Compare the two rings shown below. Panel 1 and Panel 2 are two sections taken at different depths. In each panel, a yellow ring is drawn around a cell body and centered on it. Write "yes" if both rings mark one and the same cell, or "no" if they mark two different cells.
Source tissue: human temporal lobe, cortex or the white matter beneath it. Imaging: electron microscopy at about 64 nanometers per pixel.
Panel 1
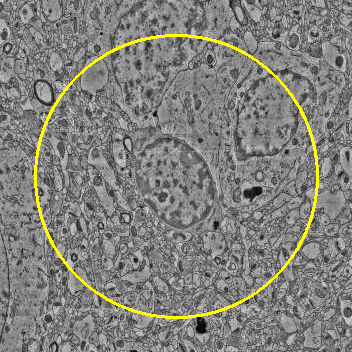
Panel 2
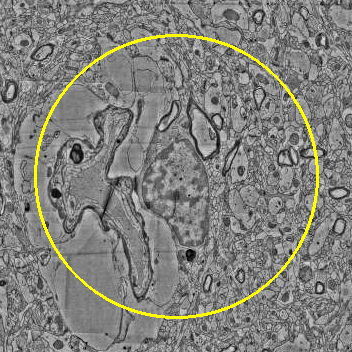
no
